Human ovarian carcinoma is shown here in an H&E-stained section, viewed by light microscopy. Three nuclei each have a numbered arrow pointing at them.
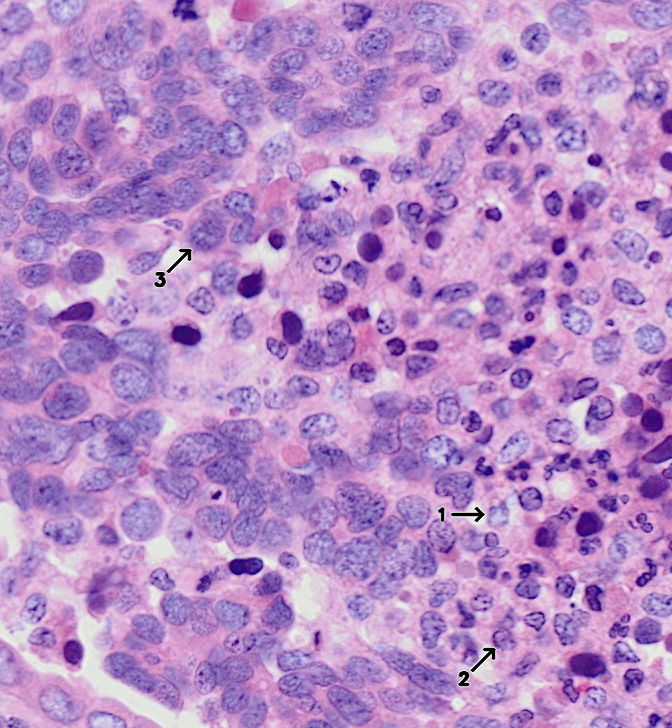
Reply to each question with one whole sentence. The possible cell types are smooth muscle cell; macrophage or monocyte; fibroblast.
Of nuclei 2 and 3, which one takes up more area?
Of the two, number 3 is bigger and takes up about 2.5 times the area of number 2.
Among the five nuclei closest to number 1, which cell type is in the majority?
Around number 1, most of the five nearest nuclei are those of macrophages or monocytes.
